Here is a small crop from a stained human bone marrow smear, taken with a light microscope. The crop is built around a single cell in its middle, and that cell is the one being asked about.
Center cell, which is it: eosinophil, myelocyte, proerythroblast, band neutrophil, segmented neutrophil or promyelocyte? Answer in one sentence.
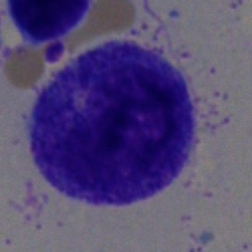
By type, the central cell of the crop is a promyelocyte.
